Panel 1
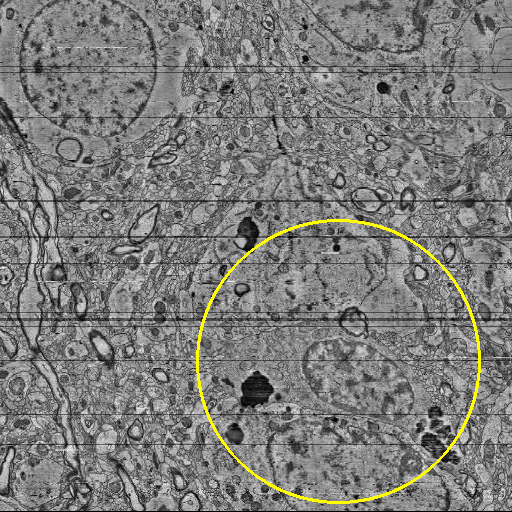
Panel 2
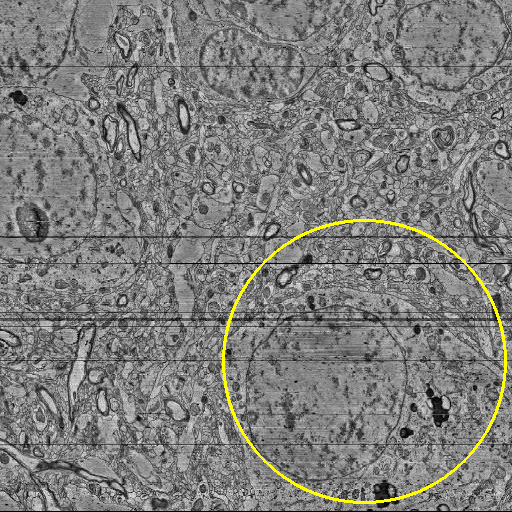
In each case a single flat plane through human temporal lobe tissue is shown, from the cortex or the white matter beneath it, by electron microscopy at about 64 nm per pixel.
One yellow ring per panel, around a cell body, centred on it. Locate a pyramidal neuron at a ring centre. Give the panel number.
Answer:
2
